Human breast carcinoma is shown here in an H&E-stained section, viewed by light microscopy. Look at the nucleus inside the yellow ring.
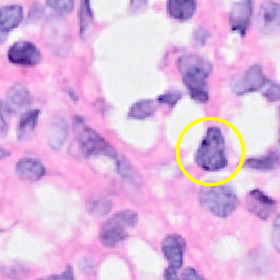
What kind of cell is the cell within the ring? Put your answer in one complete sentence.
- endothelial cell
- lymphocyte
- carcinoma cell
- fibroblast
It is as a carcinoma cell that the cell within the ring is recorded.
